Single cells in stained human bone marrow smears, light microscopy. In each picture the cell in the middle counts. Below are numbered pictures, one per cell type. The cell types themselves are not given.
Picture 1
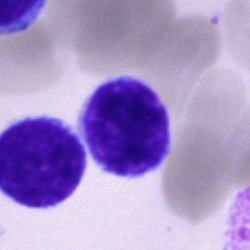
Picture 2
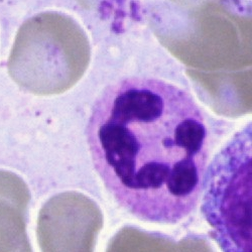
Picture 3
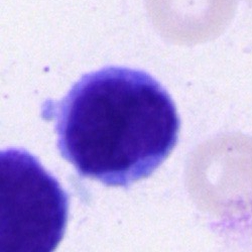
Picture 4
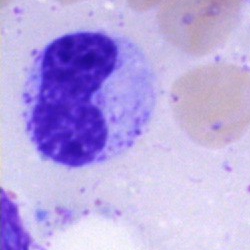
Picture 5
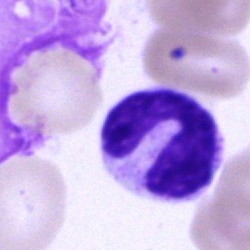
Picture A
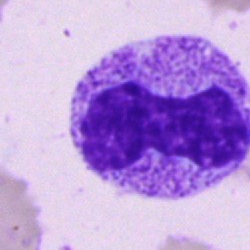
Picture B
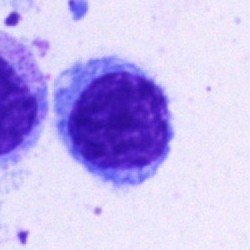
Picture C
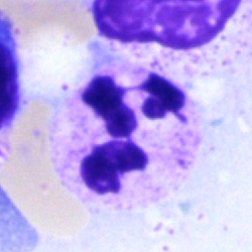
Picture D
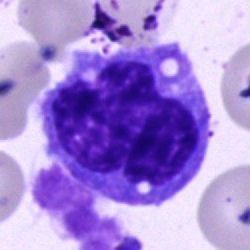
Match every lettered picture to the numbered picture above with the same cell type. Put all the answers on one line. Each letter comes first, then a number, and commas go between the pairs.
A 5, B 1, C 2, D 3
